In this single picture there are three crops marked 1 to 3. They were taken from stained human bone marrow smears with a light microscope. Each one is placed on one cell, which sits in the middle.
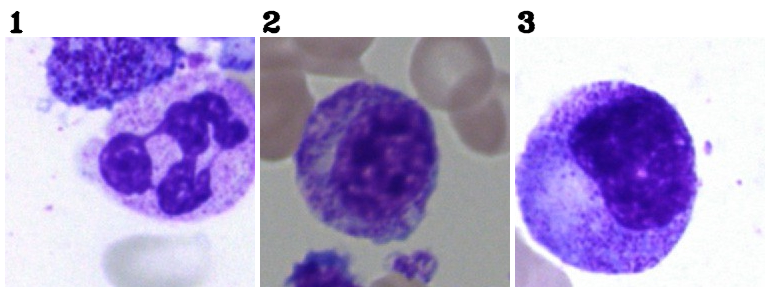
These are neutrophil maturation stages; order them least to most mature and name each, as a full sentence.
Across the crops, maturity increases in the order crop 2 (a myelocyte), crop 3 (a metamyelocyte) and crop 1 (a segmented neutrophil).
